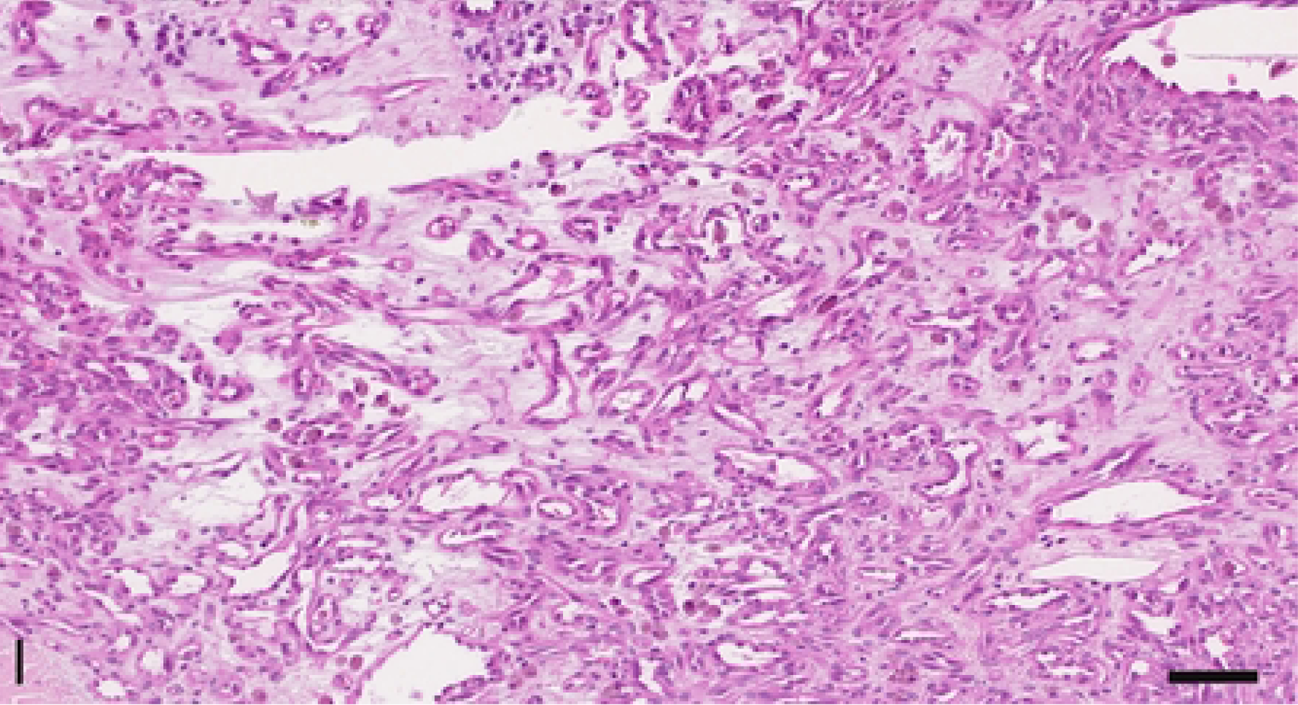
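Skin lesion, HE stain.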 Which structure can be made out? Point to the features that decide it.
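Irregular capillaries. Many small, irregularly shaped vascular lumina crowd the field. The lumina are lined by plump cells with dark nuclei. Loose pale pink stroma lies between the vessels.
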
